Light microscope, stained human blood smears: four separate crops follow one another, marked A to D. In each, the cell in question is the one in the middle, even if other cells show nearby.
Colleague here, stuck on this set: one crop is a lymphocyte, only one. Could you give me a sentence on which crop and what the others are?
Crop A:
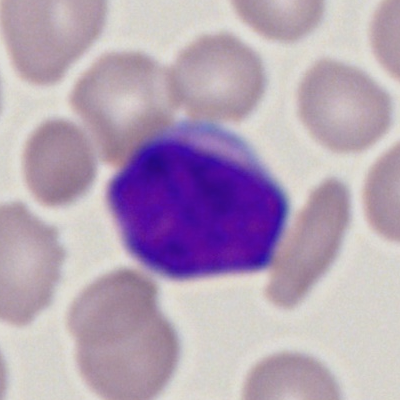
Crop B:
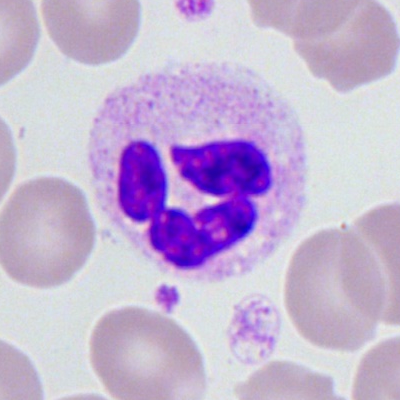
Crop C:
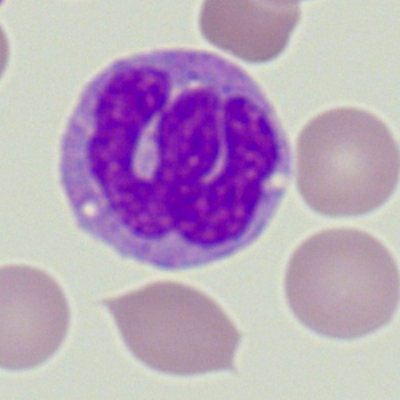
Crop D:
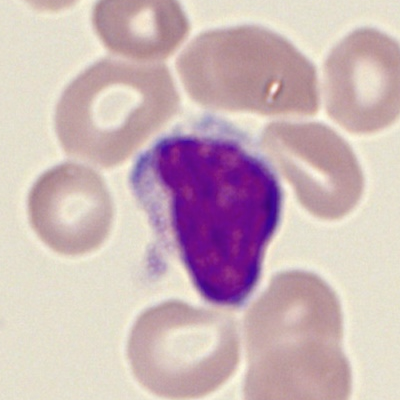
Concerning crop D, the cell shown is a lymphocyte, whereas crop A is a myeloblast, crop B is a segmented neutrophil and crop C is a monocyte.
